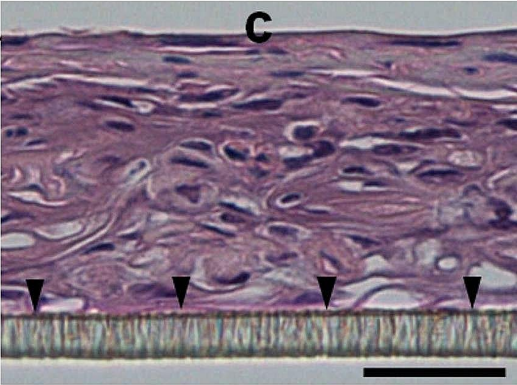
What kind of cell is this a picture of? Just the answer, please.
Keratinocytes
